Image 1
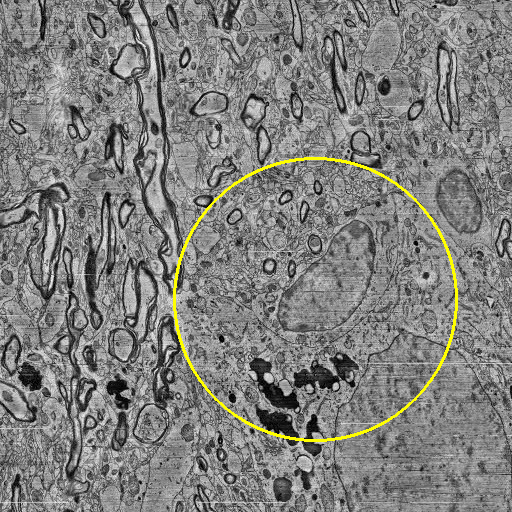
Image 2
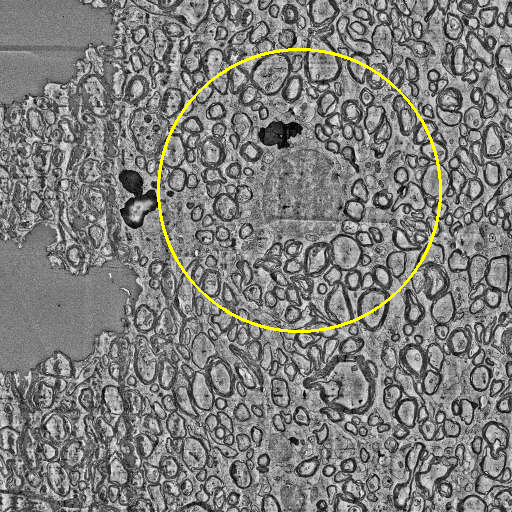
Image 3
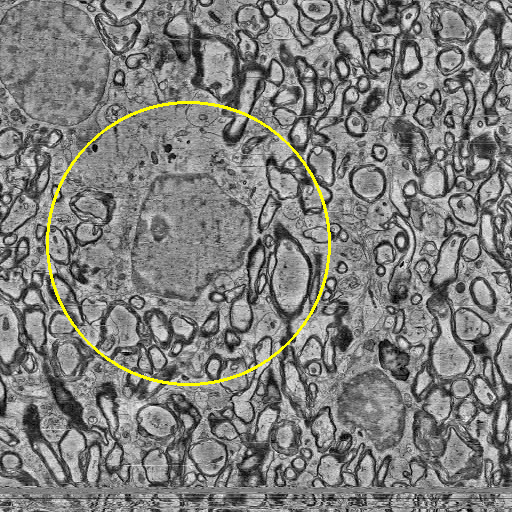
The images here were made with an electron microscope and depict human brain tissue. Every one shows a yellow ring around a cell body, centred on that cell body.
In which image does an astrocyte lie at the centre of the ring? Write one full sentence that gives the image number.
My answer is image 3, where the asked-for cell sits at the centre of the ring.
